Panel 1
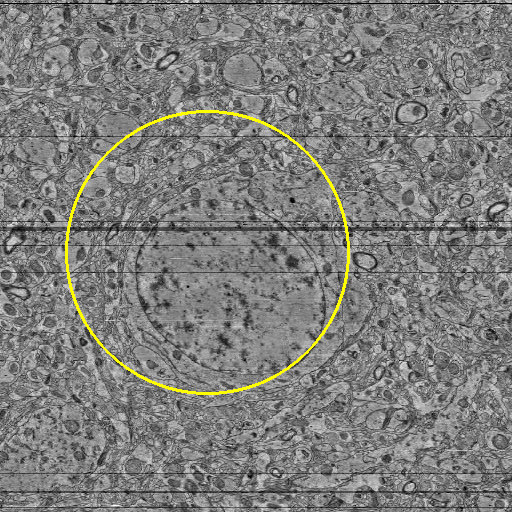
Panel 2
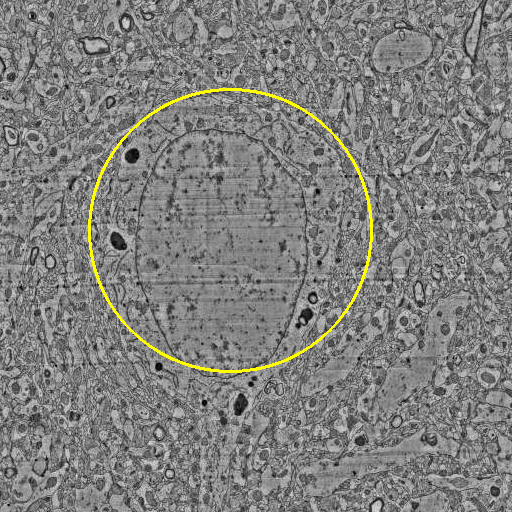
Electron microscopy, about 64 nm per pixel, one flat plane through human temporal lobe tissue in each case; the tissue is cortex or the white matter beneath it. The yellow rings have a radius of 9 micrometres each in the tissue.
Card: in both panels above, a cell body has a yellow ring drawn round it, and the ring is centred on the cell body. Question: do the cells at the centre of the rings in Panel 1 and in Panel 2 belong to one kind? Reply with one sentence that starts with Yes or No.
Yes, the cells centred in the rings of Panel 1 and Panel 2 are one kind of cell.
